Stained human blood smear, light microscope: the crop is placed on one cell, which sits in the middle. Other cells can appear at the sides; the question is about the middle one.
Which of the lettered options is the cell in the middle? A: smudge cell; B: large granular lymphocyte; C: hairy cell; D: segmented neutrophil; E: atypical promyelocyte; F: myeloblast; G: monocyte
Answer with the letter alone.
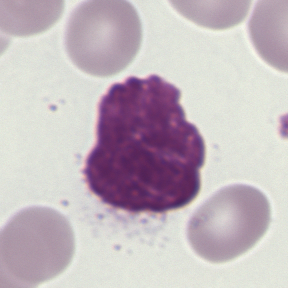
A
